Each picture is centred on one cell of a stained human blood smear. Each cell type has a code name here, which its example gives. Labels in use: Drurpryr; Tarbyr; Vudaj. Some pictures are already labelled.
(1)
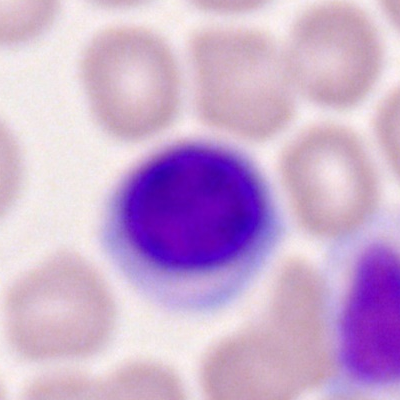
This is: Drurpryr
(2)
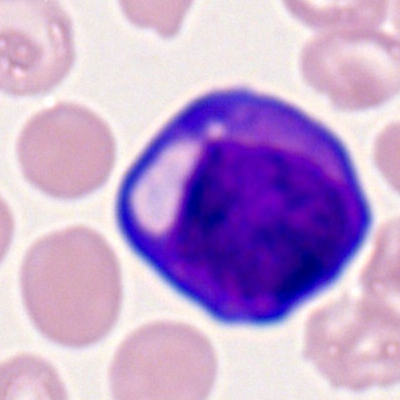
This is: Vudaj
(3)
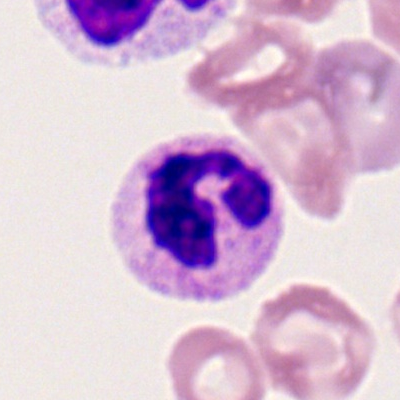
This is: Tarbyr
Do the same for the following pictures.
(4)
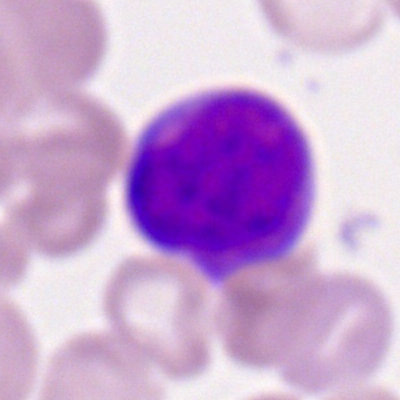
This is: Vudaj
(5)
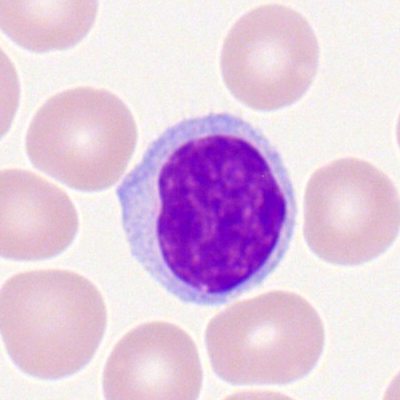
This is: Drurpryr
